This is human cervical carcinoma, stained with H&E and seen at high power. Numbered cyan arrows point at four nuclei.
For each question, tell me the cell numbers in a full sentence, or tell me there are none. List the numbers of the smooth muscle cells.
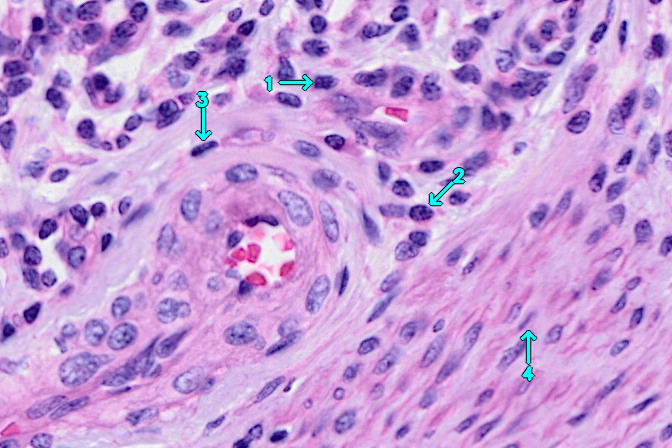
Only nucleus 4 belongs to a smooth muscle cell; the other numbered nuclei do not.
